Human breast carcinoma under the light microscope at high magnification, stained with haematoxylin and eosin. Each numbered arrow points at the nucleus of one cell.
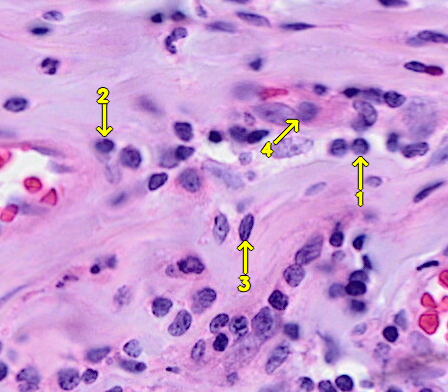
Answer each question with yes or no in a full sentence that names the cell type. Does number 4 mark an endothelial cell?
Yes, it is an endothelial cell that carries the number 4.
